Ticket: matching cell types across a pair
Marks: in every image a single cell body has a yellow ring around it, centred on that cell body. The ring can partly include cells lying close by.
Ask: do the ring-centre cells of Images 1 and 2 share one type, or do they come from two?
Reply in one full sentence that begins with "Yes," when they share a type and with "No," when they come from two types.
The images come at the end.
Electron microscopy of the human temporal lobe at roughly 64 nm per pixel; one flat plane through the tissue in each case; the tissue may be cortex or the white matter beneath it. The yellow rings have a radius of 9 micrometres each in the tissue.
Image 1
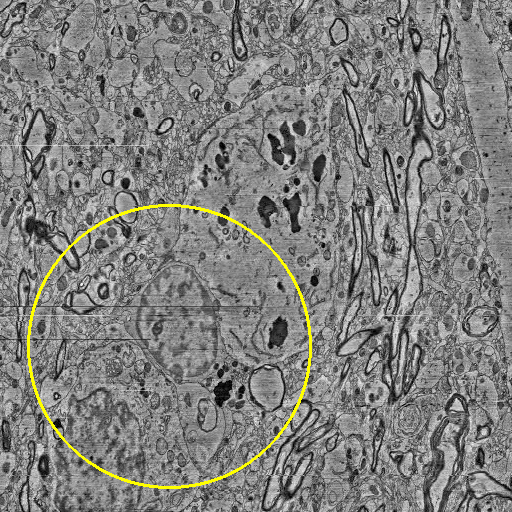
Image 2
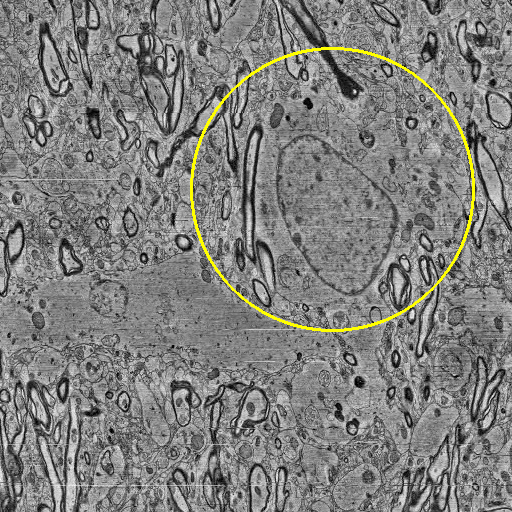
No, the cells in the centres of the rings in Image 1 and Image 2 come from two types.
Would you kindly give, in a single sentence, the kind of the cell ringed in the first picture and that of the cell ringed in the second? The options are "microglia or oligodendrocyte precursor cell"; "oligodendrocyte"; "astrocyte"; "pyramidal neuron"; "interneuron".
The second cell is an astrocyte, and the first cell is an oligodendrocyte.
